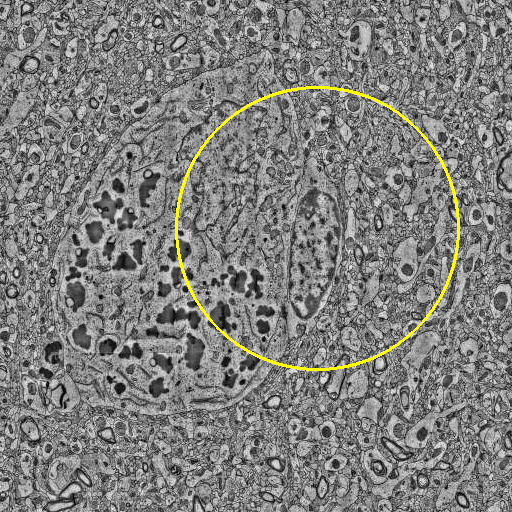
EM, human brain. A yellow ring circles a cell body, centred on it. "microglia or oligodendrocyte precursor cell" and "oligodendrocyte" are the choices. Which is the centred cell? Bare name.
microglia or oligodendrocyte precursor cell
